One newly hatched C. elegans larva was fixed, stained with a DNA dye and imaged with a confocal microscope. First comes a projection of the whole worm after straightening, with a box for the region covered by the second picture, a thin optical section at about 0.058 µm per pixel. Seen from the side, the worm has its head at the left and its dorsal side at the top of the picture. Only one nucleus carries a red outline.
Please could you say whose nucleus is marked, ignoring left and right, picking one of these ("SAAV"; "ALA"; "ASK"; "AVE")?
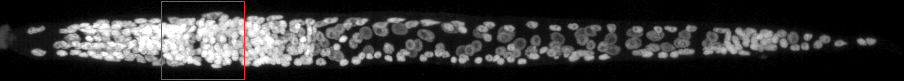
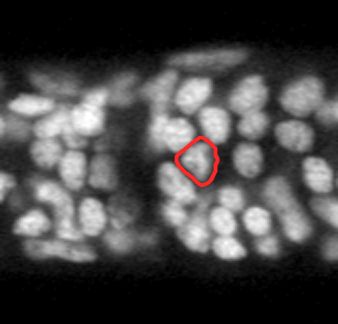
AVE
